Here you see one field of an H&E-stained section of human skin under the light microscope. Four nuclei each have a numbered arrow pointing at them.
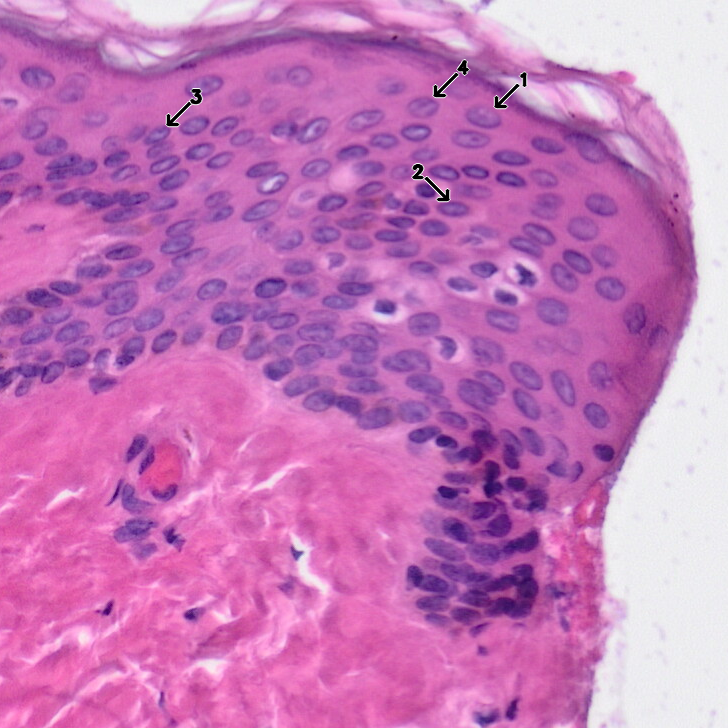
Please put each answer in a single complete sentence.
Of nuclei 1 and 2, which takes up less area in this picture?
With nucleus 1 about 1.5 times its size, nucleus 2 is the smaller of the two.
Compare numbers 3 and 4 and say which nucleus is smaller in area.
Number 3 is smaller, since number 4 takes up about 1.5 times as much area.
